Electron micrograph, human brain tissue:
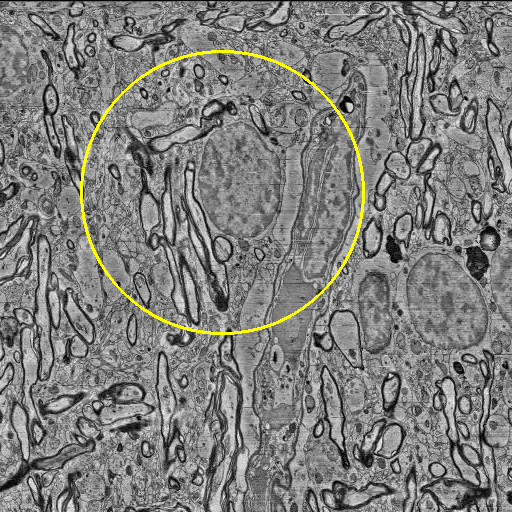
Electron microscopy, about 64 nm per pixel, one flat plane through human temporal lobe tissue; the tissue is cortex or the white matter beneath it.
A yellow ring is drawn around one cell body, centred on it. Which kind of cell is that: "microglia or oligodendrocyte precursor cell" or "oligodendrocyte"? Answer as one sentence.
It is an oligodendrocyte at the centre of the ring.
